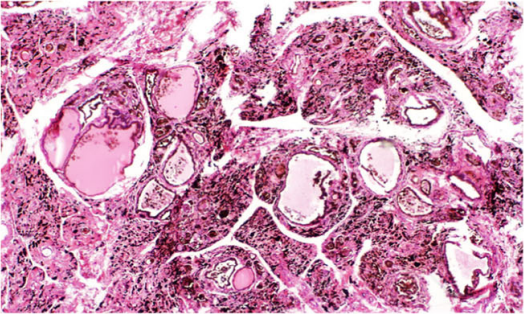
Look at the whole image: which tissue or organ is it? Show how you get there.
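Round follicles filled with pink homogeneous colloid. Follicles lined by a thin epithelial layer. Dark brown-black pigment in the tissue between follicles. So: thyroid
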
